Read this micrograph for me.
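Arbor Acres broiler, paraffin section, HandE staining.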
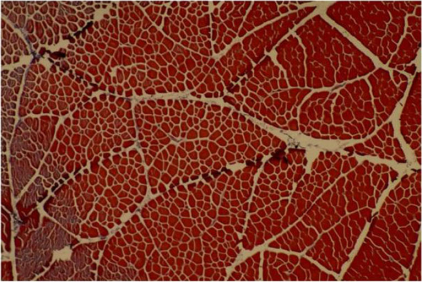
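This is a transverse section of muscle in which numerous small, polygonal muscle fibers stain red and are cut in cross-section. They are gathered into large bundles outlined by pale strands of connective tissue, with fine pale spaces between the individual fibers.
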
